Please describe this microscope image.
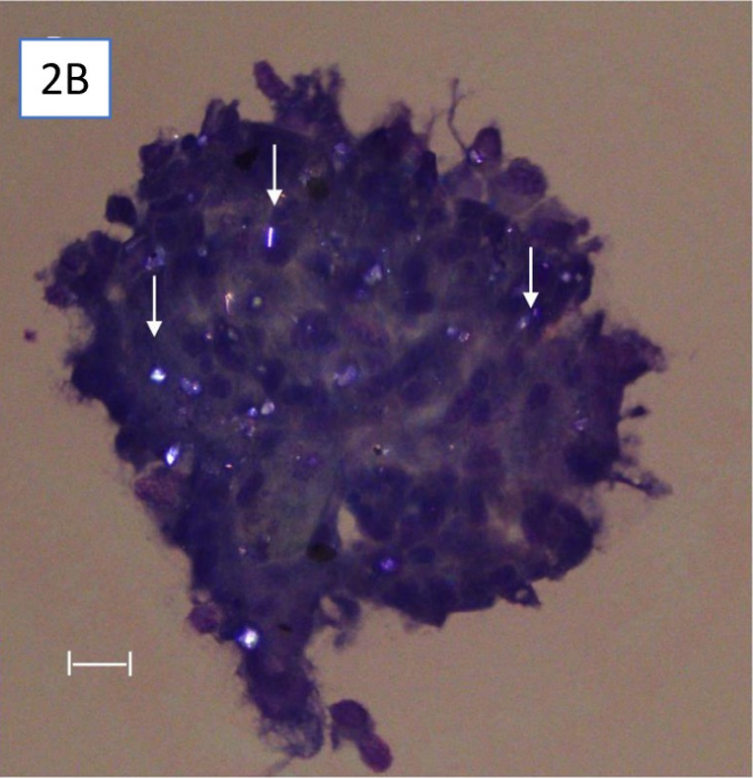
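This cytology preparation is dominated by a single large, bizarre multinucleated giant cell that forms a dense, dark purple mass with a ragged, irregular border. Many oval dark nuclei are crowded within its shared cytoplasm, which is paler in places. Numerous small bright white glinting particles, including a short rod-shaped one, are scattered throughout the cell.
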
